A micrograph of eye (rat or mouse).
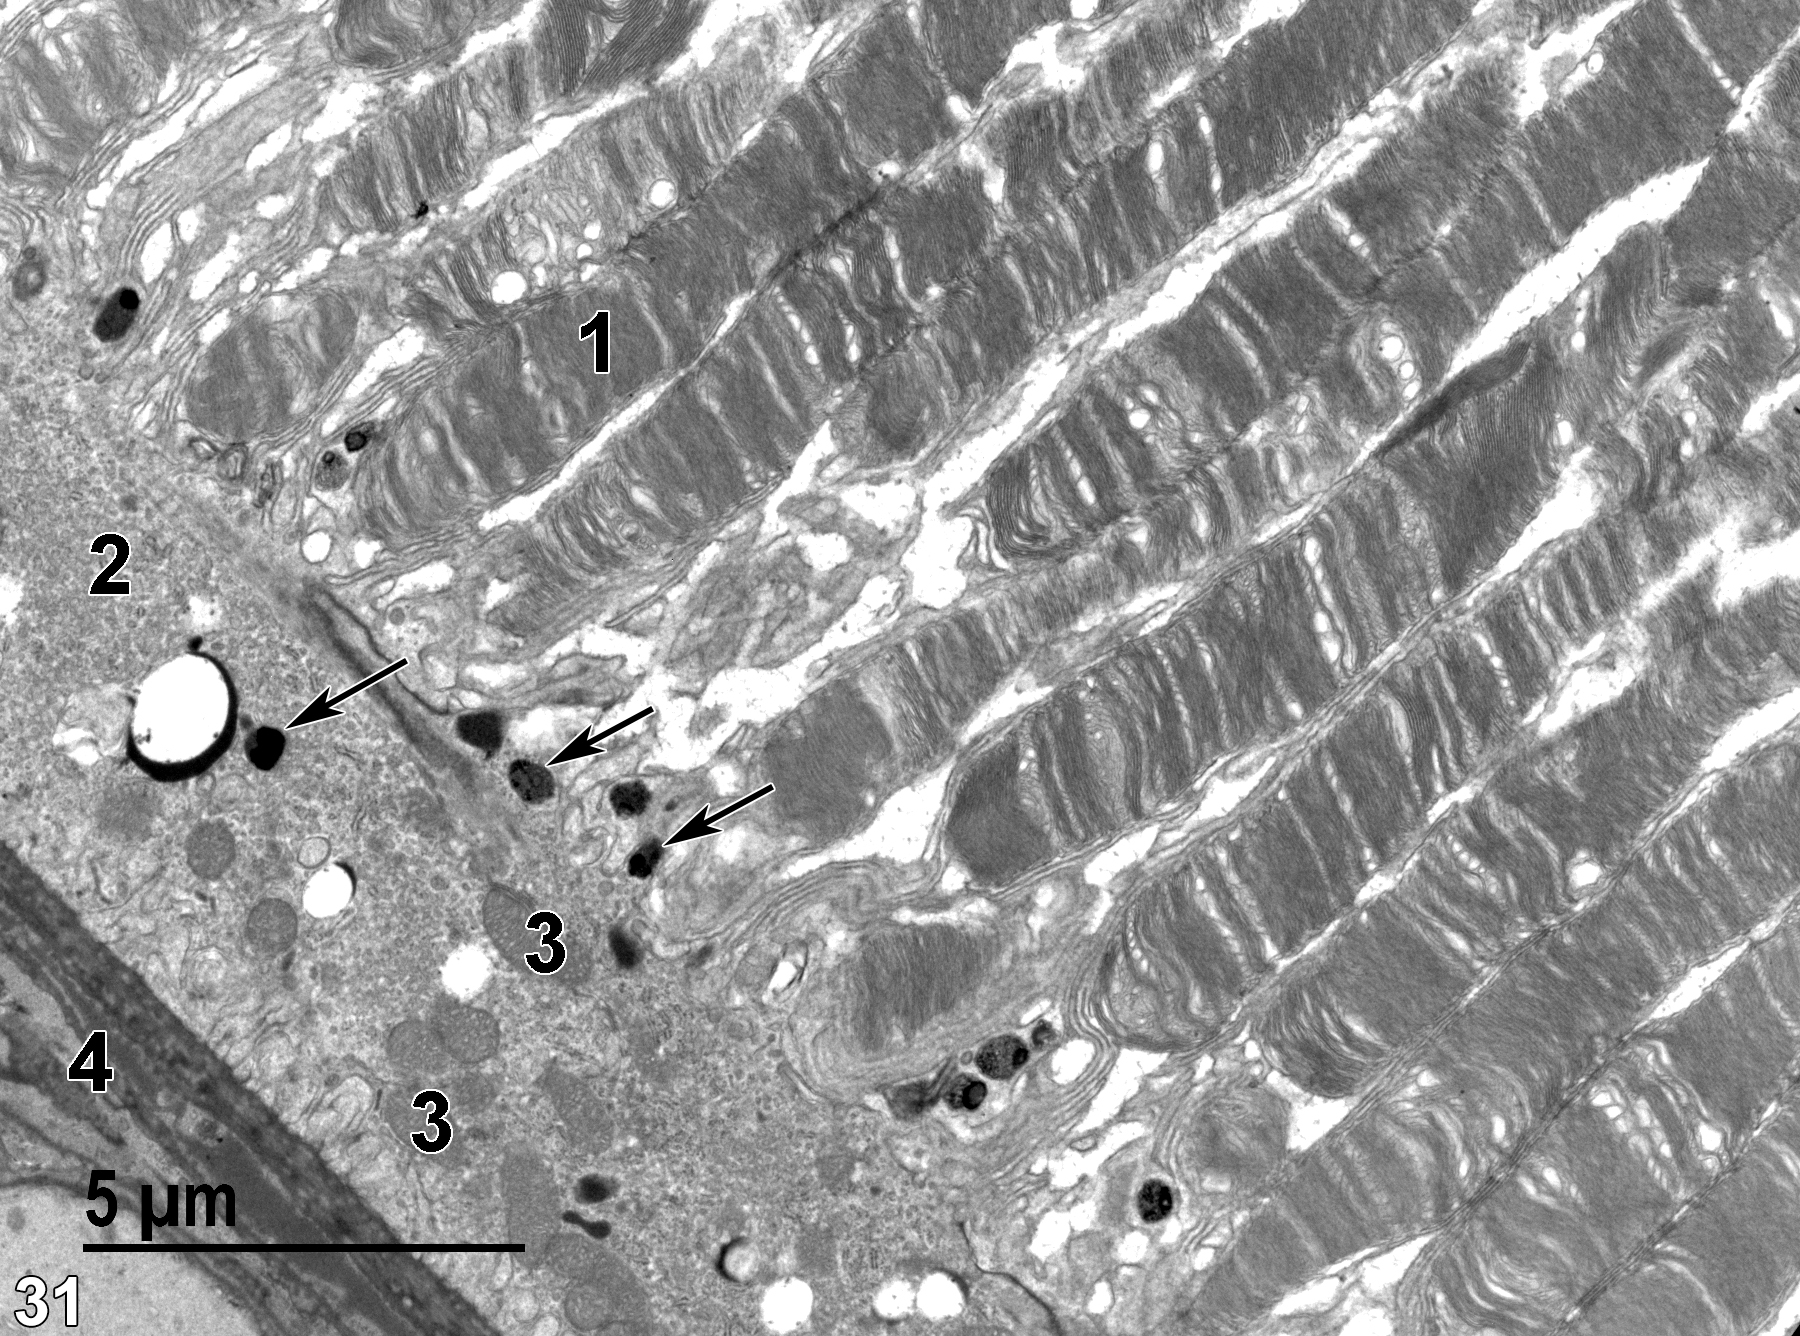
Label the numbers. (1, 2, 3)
1. outer segments of the rods and cones
2. pigmented epithelium
3. mitochondria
